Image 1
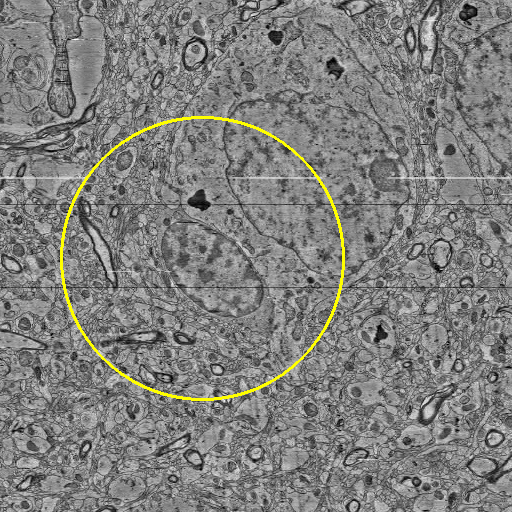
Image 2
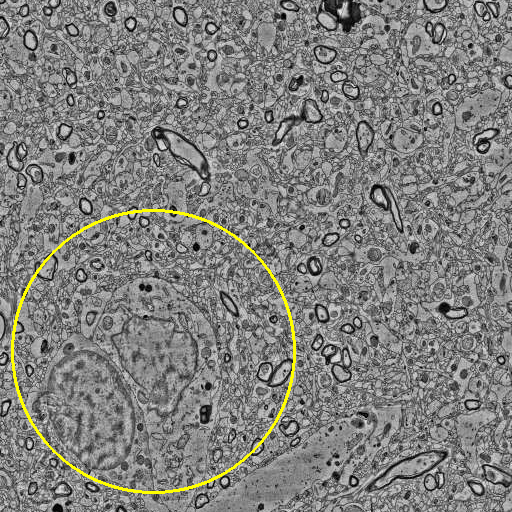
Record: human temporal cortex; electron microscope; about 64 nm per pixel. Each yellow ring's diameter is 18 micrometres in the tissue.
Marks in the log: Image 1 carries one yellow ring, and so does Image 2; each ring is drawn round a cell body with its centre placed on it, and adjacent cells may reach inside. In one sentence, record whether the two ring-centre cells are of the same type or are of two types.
The two cells at the ring centres, one in each image, are of two types.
